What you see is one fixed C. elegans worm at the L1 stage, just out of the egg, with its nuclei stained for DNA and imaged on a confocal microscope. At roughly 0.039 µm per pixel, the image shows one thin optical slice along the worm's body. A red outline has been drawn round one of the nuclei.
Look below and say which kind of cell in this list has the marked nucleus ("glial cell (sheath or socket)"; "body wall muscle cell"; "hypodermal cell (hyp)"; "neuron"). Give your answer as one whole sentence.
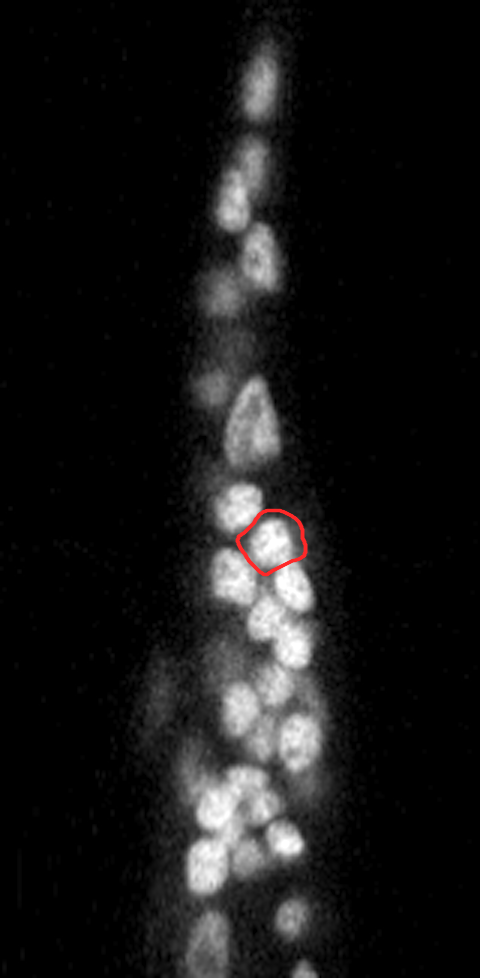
This is the nucleus of a glial cell (sheath or socket).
